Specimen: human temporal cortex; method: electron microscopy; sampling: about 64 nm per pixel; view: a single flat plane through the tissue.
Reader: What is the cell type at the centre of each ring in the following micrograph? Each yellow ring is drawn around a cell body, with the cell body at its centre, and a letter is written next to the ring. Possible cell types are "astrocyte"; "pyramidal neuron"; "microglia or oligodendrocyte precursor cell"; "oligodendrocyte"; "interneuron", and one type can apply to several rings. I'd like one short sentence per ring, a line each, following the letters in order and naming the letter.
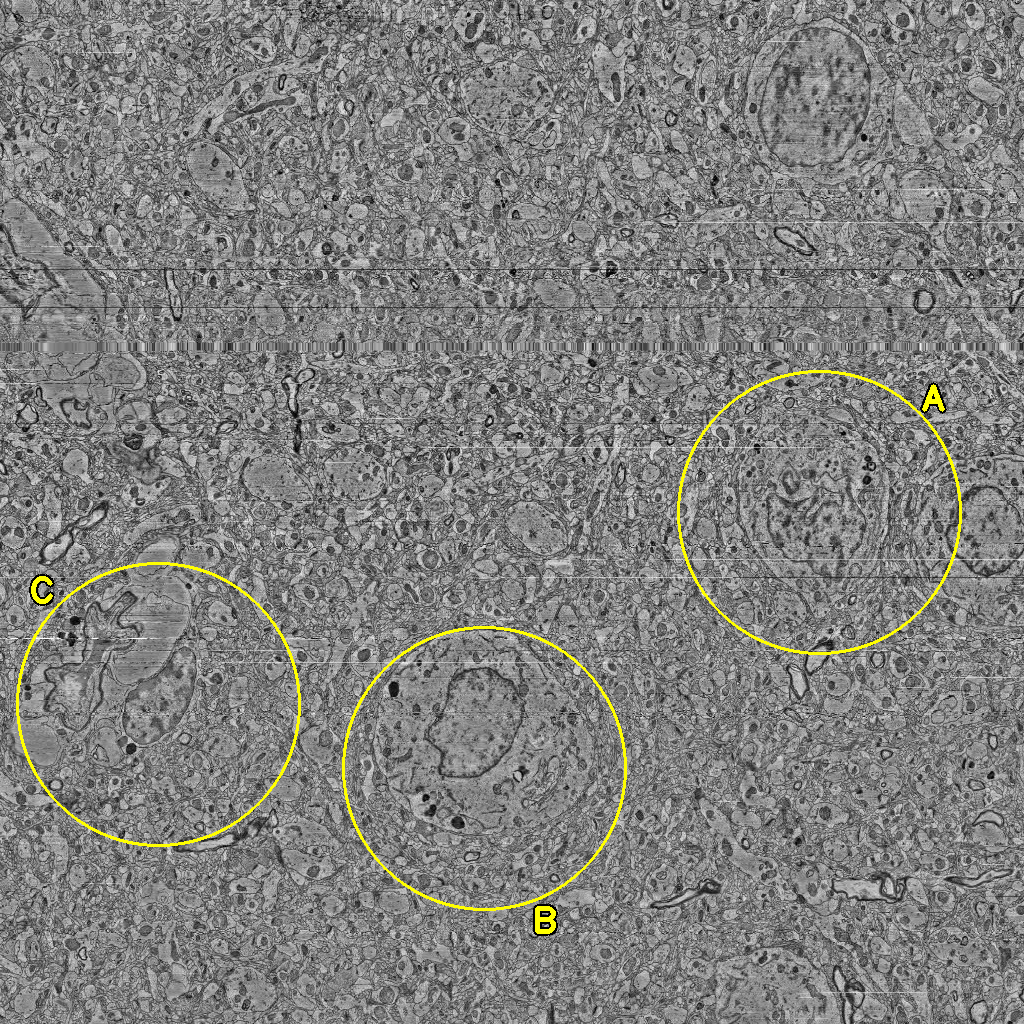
The cell body at the centre of ring A is that of an interneuron.
The cell body at the centre of ring B is that of a pyramidal neuron.
The cell body at the centre of ring C is that of a microglial cell or oligodendrocyte precursor cell.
